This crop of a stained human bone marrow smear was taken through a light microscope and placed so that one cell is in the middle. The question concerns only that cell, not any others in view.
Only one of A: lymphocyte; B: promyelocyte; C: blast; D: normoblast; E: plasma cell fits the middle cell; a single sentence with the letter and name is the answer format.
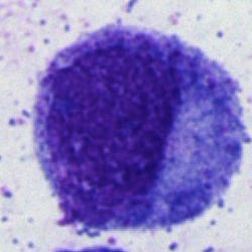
What option B states is correct, the central cell being a promyelocyte.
